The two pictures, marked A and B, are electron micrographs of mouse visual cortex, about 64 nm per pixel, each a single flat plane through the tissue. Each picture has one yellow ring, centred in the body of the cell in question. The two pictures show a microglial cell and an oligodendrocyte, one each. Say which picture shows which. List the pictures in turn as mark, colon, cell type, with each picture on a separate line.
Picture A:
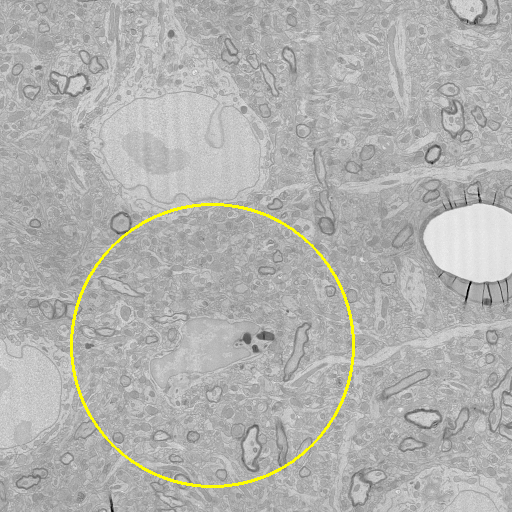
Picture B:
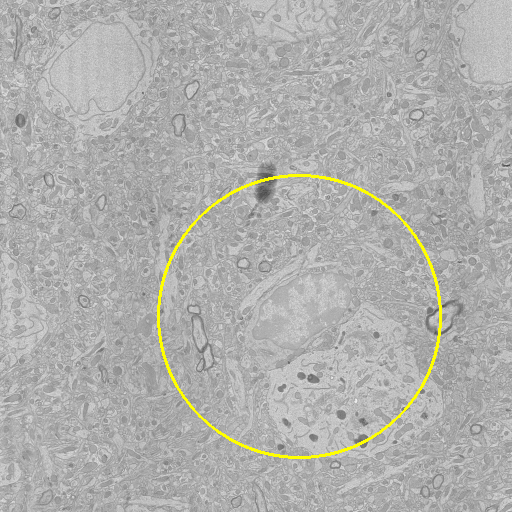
A: microglial cell
B: oligodendrocyte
